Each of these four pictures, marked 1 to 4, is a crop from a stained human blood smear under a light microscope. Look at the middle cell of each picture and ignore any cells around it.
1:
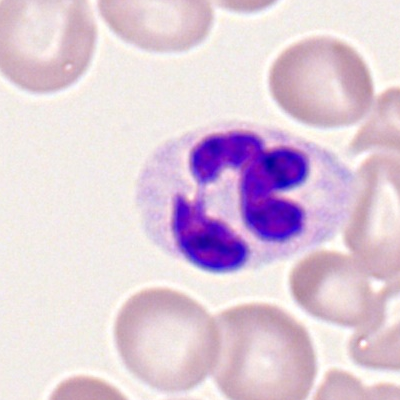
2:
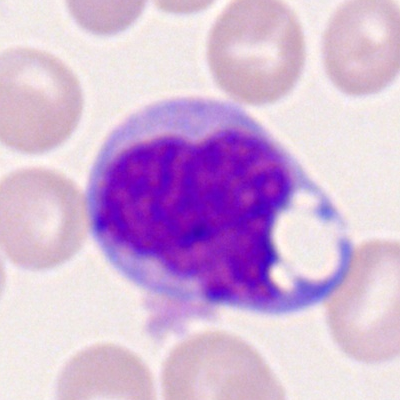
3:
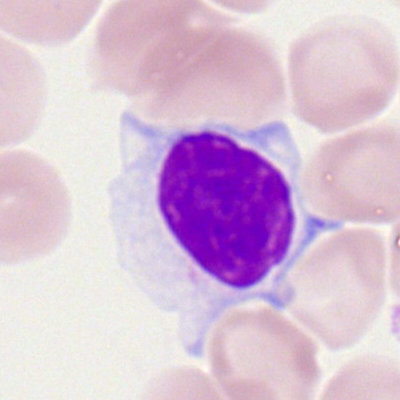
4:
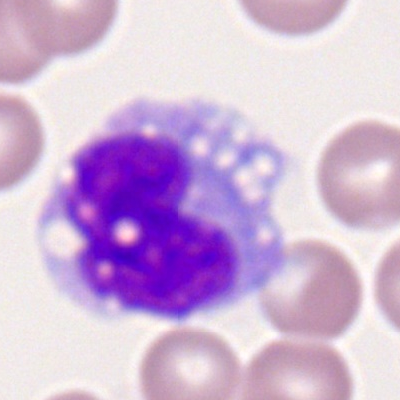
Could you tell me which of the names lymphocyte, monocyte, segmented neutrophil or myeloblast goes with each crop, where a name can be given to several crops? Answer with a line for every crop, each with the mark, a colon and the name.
1: segmented neutrophil
2: monocyte
3: lymphocyte
4: monocyte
